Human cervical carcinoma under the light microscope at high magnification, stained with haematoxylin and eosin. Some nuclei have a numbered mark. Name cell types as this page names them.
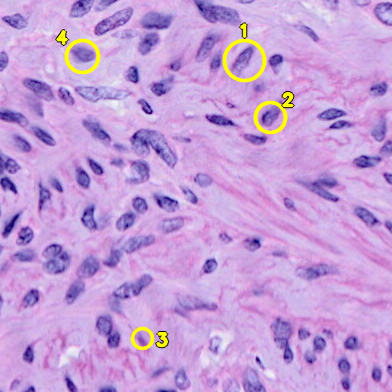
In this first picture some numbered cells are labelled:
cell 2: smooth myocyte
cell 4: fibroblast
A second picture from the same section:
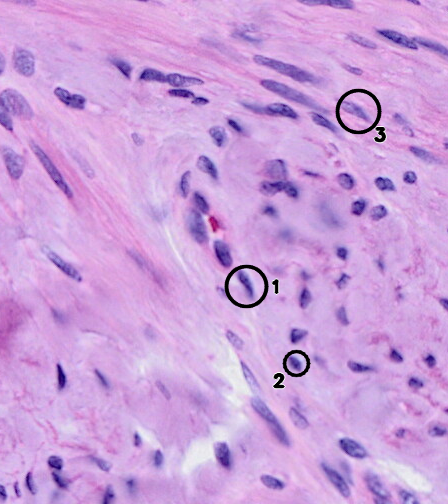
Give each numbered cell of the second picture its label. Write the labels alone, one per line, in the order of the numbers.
fibroblast
fibroblast
smooth myocyte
